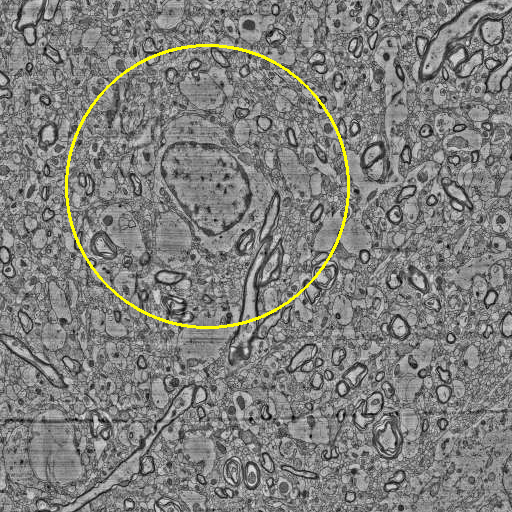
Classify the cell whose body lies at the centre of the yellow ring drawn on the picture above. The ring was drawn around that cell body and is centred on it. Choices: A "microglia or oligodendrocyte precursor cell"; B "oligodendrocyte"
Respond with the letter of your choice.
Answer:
A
